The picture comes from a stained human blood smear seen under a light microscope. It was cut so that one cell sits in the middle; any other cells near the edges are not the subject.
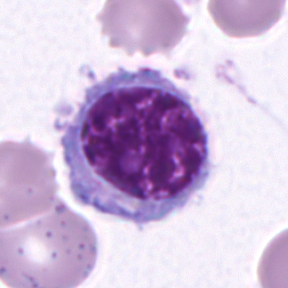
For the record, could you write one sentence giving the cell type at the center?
The centrally located cell in the crop is a plasma cell.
